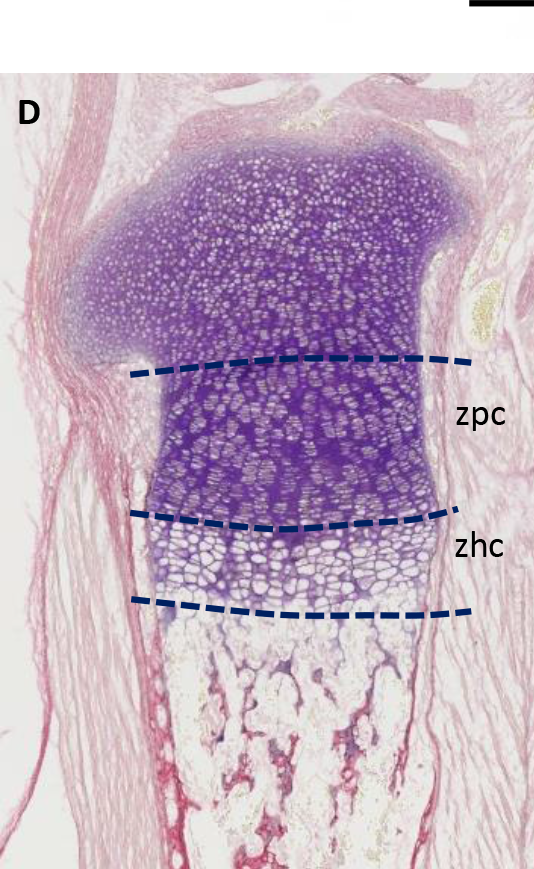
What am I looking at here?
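This longitudinal section through the end of a developing long bone shows a cartilage epiphysis of chondrocytes above a forming marrow cavity. At the top, a broad purple-stained cartilage cap holds small, rounded, evenly scattered chondrocytes. Beneath it, the chondrocytes become flattened and stacked into columns, and below these they enlarge into big, pale, clear cells with thin purple walls between them. Under this layer the cartilage gives way to an open cavity crossed by thin red-stained trabeculae, and the whole is flanked by pink fibrous and muscle tissue.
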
